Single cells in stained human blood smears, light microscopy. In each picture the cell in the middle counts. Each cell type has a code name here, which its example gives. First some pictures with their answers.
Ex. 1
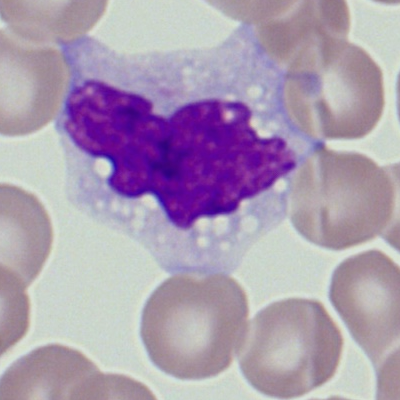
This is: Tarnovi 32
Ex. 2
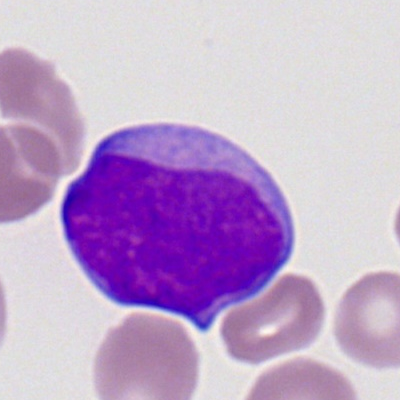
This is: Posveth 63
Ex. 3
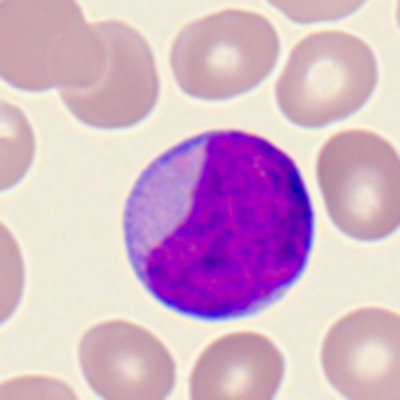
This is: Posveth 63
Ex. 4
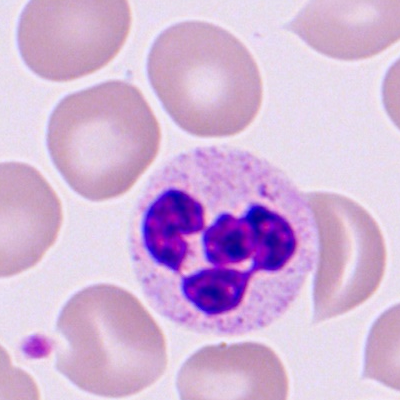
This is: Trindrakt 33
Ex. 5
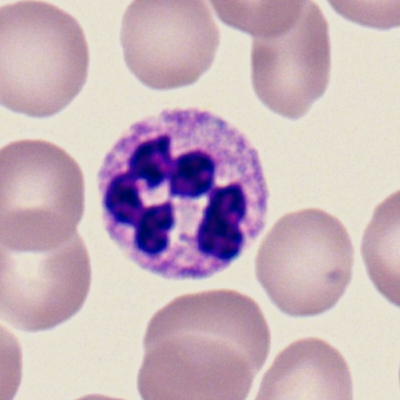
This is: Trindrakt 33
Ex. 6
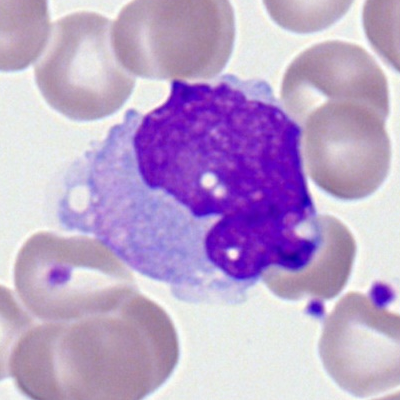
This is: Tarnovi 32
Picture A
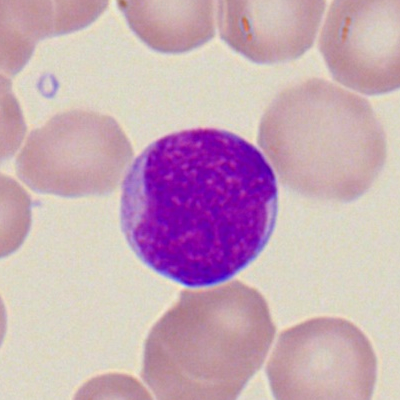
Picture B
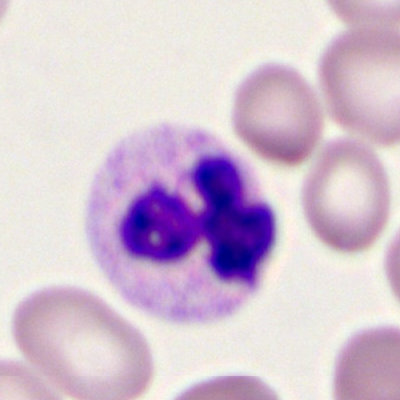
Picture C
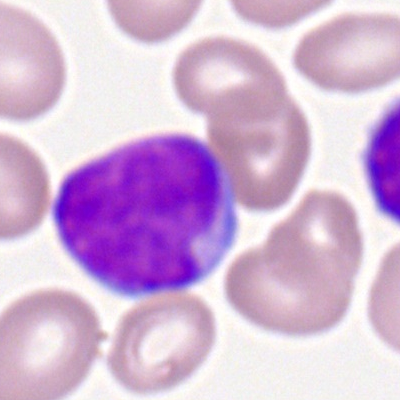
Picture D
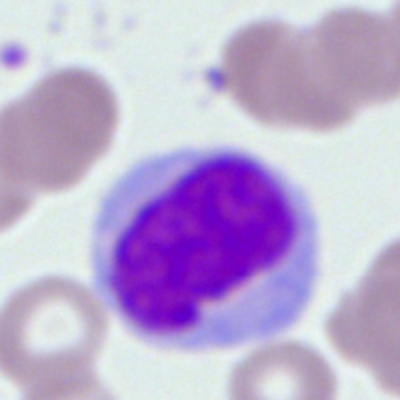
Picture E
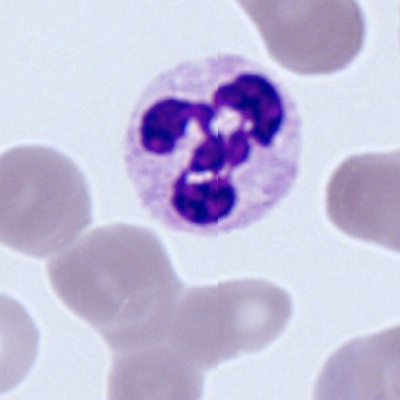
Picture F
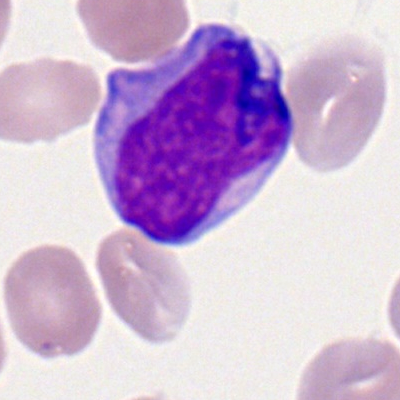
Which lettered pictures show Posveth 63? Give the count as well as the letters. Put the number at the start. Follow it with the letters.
3, namely A, C, F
